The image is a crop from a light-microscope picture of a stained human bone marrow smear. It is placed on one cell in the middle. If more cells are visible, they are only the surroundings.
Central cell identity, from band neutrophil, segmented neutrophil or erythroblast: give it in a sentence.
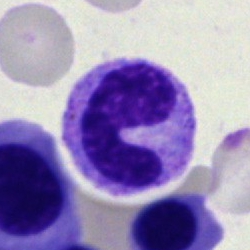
The center cell of this crop is a band neutrophil.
